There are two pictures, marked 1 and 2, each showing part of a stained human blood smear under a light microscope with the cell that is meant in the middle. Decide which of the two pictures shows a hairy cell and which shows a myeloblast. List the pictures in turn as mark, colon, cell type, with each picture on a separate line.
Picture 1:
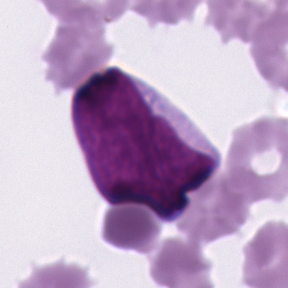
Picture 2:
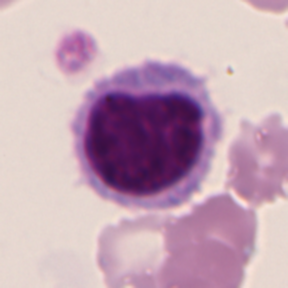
1: myeloblast
2: hairy cell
